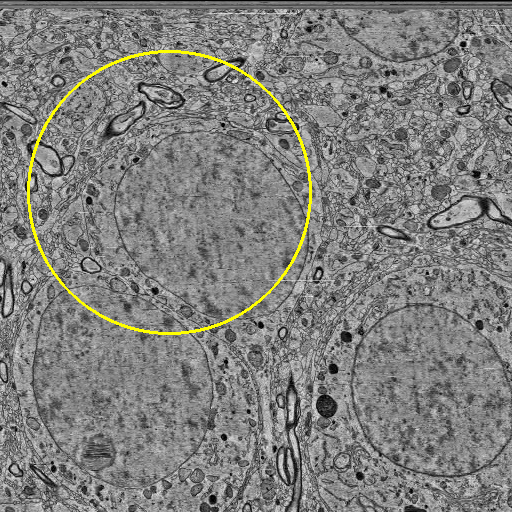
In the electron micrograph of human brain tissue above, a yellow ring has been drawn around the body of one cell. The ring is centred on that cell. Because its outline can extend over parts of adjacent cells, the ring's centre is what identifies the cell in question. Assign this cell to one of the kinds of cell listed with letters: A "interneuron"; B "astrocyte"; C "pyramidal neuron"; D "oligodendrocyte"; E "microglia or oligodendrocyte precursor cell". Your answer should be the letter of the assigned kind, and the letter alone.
C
